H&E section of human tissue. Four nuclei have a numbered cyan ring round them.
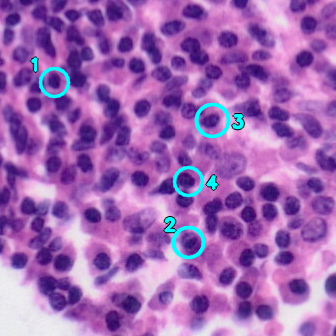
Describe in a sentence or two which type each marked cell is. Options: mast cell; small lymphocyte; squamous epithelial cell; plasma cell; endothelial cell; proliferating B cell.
Cell 1 is a small lymphocyte. Cells 2, 3 and 4 are plasma cells.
